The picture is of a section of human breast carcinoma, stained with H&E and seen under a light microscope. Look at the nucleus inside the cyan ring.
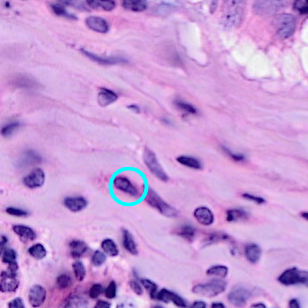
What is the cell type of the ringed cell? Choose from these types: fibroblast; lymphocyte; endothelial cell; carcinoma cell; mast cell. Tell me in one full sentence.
It is as a mast cell that the ringed cell is recorded.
